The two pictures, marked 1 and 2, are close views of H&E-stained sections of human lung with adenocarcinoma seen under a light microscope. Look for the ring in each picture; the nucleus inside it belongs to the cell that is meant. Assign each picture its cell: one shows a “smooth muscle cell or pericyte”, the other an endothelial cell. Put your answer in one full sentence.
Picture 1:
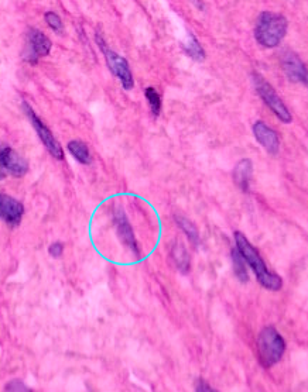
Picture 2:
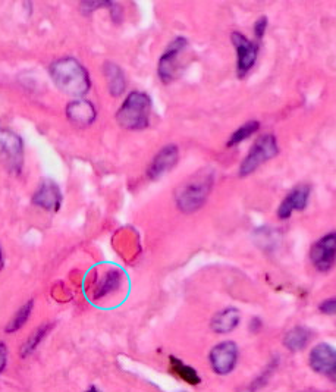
Picture 1 shows a “smooth muscle cell or pericyte” and picture 2 shows an endothelial cell.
